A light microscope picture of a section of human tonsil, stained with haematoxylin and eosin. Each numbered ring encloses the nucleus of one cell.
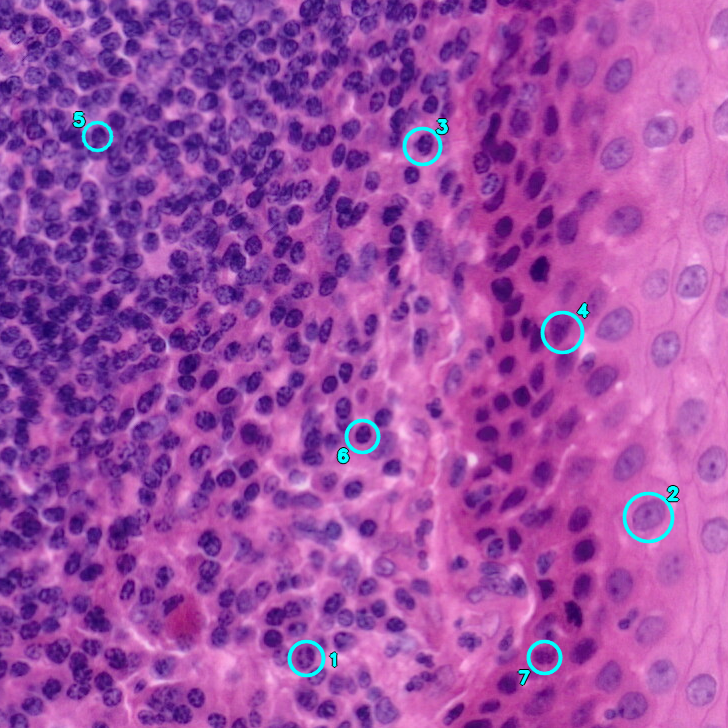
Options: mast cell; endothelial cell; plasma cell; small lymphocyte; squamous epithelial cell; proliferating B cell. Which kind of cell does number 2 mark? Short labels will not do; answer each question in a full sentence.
What the number 2 marks in this field is a squamous epithelial cell.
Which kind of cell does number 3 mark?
Corresponding to a plasma cell is the cell labelled 3.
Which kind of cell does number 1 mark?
Marked with the number 1, this cell is a plasma cell.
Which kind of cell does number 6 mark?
The cell marked with the number 6 is a plasma cell.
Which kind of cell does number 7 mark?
Within this field of view, the cell labelled 7 is a squamous epithelial cell.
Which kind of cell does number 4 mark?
The numeral 4 marks a squamous epithelial cell in this section.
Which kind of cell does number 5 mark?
Cell 5 of the marked set is a small lymphocyte.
